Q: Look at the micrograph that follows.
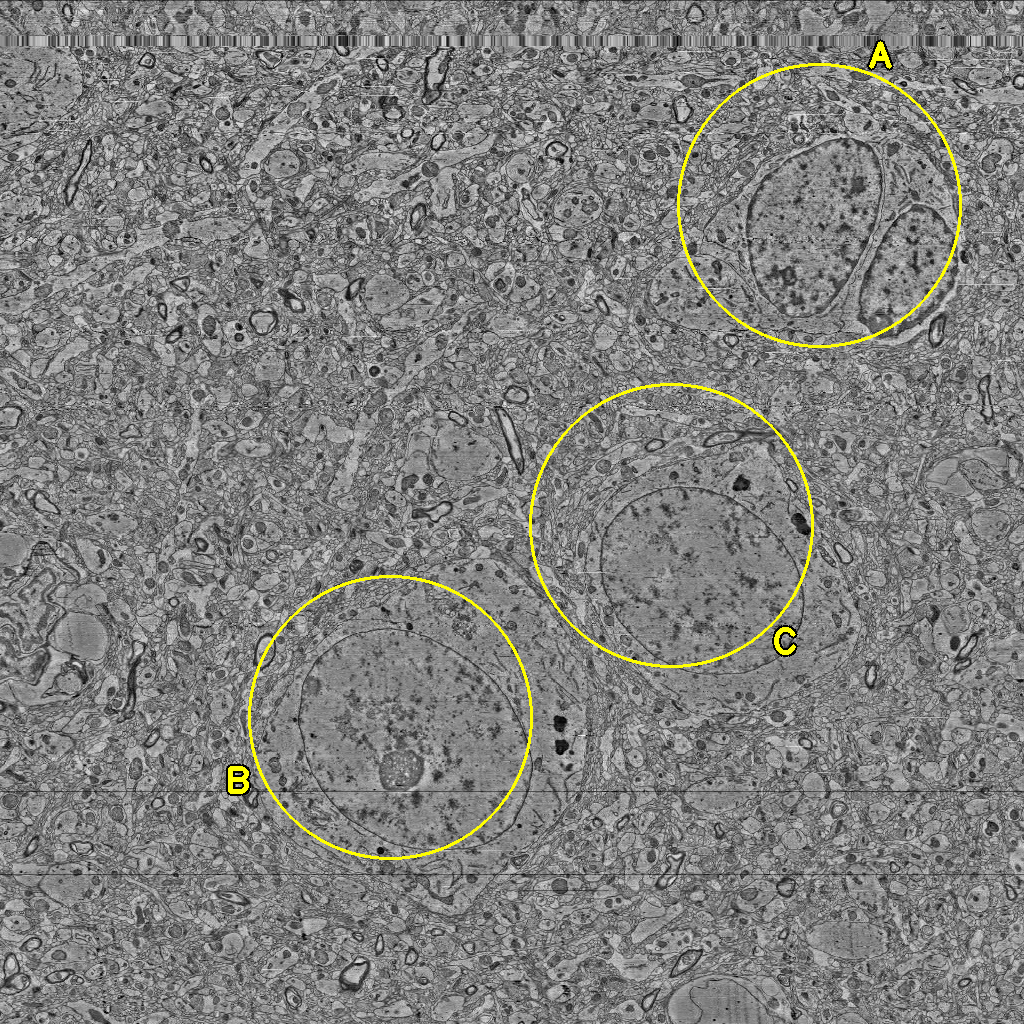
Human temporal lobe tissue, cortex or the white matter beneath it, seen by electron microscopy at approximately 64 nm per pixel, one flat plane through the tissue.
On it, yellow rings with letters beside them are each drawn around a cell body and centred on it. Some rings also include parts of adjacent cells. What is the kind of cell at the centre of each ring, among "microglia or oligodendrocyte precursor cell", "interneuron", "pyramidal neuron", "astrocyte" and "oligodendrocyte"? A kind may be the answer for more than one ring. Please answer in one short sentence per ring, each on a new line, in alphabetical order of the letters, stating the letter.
Ring A surrounds the cell body of a microglial cell or oligodendrocyte precursor cell.
Ring B surrounds the cell body of a pyramidal neuron.
Ring C surrounds the cell body of a pyramidal neuron.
